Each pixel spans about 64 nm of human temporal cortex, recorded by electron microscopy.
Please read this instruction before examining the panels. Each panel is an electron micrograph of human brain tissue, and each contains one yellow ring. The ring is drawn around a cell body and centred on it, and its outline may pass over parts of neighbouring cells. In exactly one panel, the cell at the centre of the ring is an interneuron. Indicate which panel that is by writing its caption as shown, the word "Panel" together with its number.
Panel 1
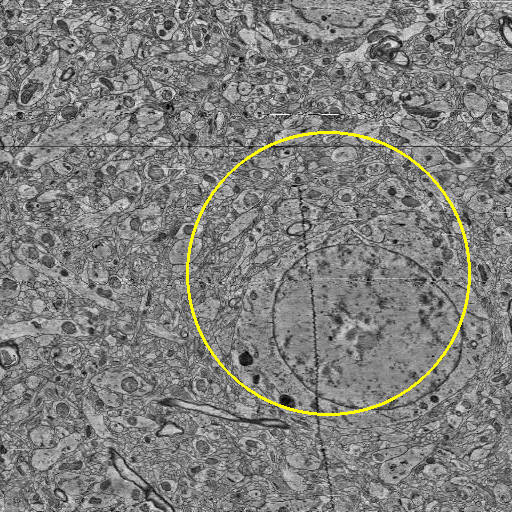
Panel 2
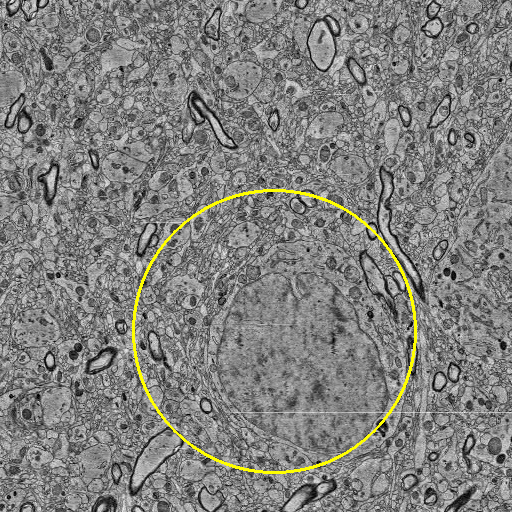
Panel 2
